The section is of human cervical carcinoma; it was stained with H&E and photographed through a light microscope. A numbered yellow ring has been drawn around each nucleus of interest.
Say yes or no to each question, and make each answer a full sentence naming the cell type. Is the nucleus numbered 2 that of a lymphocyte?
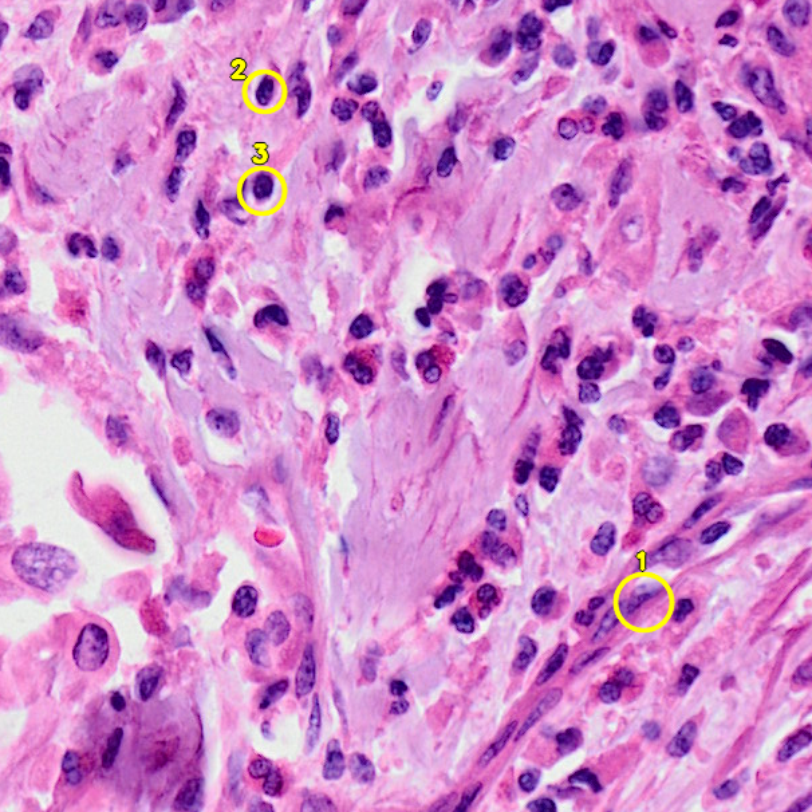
Yes, the cell indicated by number 2 is a lymphocyte.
